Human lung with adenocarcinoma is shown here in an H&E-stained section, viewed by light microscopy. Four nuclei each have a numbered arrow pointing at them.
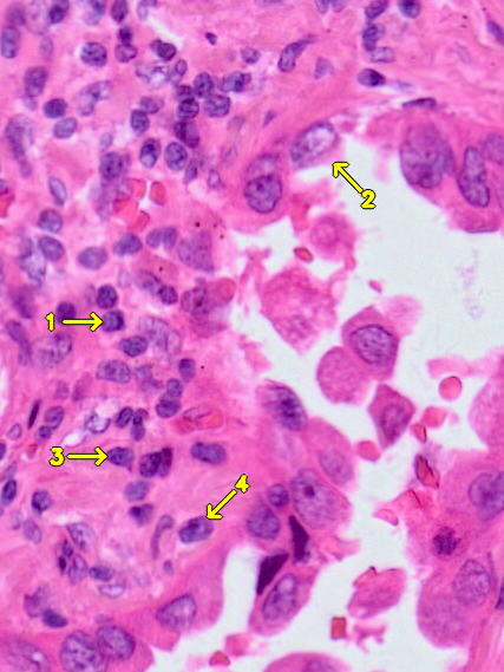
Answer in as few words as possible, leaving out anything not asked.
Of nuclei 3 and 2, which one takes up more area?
2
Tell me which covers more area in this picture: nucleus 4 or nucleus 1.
4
